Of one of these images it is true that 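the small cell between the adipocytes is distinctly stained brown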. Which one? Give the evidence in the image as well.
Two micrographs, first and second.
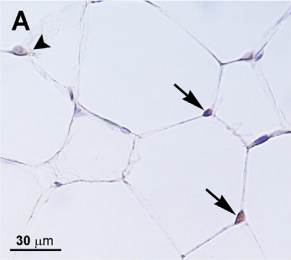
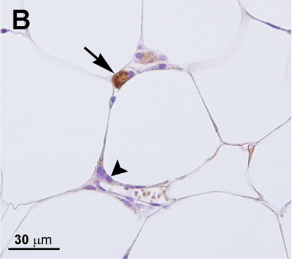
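Second image: the arrowed cell has clearly brown cytoplasm. That points to this answer: the second image.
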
